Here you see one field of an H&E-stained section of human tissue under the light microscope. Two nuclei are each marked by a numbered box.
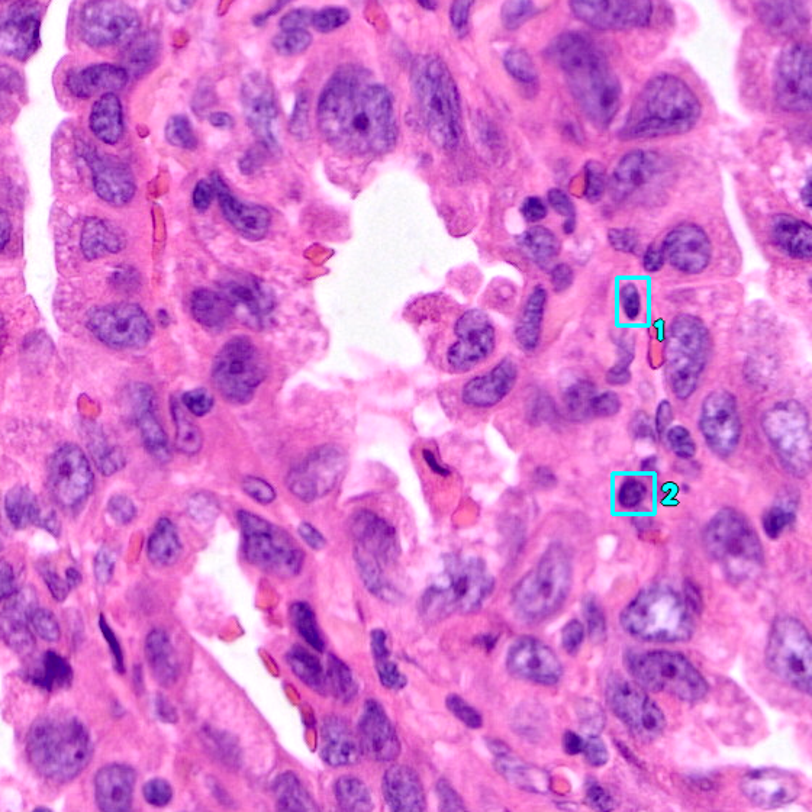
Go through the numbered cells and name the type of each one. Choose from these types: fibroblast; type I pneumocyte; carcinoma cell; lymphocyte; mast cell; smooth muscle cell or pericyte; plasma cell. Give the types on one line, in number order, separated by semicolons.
lymphocyte; plasma cell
